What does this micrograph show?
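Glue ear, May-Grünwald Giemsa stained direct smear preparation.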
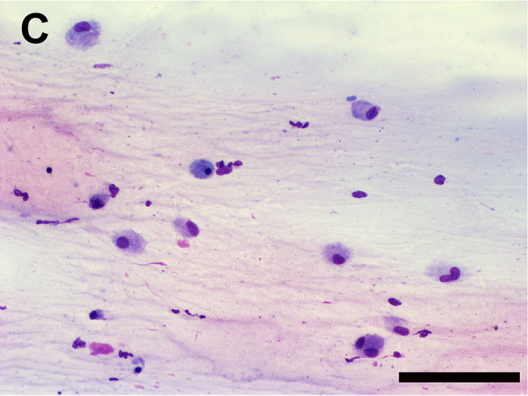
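The macrophages are large cells with plentiful pale blue-grey cytoplasm and a single round to oval nucleus that often sits to one side. Scattered among them are smaller cells with dark, lobed or elongated nuclei. The cells lie widely apart in a pale, faintly streaked pink and blue background of secretion.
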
